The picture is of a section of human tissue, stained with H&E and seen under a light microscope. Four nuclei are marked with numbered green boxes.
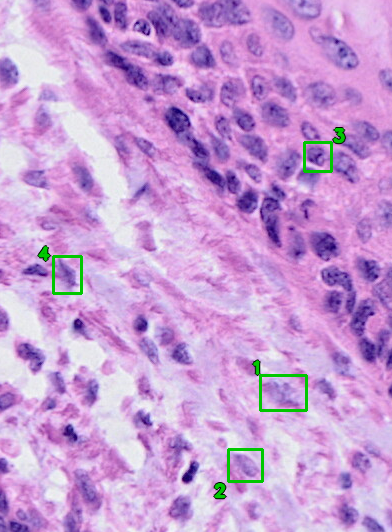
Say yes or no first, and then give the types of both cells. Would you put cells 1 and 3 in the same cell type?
No, hold on, cell 1 is a fibroblast and cell 3 is a squamous carcinoma cell.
